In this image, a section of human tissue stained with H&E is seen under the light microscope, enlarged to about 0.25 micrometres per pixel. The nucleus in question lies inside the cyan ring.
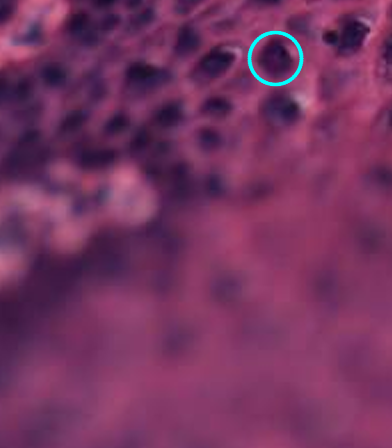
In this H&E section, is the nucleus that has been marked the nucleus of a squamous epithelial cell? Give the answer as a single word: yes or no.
yes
